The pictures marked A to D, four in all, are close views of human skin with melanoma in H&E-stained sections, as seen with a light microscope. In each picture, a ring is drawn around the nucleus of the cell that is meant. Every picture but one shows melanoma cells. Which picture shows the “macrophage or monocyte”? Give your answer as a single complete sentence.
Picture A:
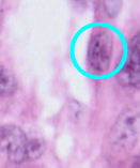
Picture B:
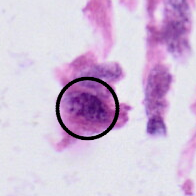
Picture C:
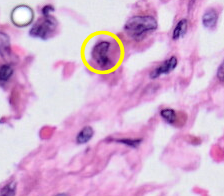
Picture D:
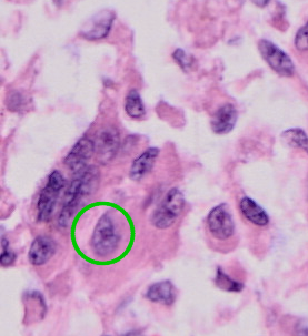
Picture C is the one that shows the “macrophage or monocyte”.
